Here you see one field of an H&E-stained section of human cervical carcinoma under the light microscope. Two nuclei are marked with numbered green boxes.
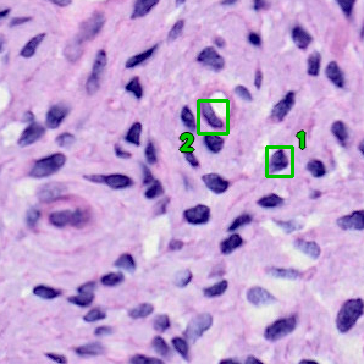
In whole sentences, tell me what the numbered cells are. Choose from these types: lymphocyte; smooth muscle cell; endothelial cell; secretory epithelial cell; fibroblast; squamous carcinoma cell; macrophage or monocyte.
Cell 1 is a fibroblast. Cell 2 is an endothelial cell.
